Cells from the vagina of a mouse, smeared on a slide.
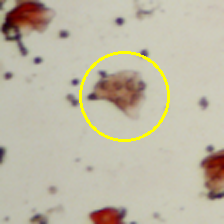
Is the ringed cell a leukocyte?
No, it is a cornified epithelial cell.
